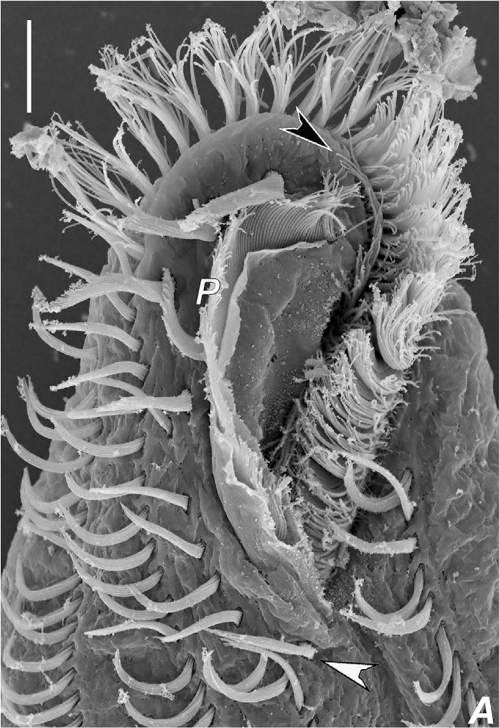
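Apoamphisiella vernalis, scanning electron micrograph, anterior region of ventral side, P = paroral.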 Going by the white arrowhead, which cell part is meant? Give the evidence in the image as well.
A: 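Postperistomal cirrus. The arrowhead points to a curved ciliary tuft just behind the posterior end of the oral region. It lies on the ventral surface below the end of the oral depression.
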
